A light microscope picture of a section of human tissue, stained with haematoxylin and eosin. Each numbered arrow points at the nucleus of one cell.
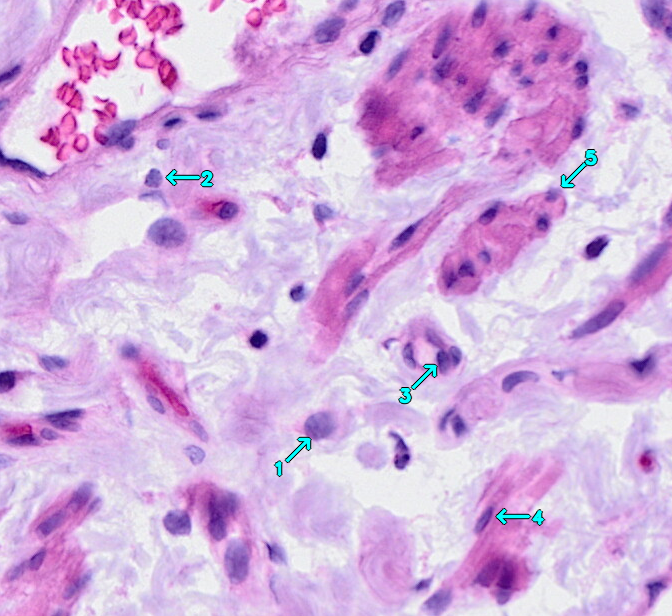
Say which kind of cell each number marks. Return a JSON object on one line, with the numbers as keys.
{"1": "fibroblast", "2": "lymphocyte", "3": "endothelial cell", "4": "smooth muscle cell", "5": "smooth muscle cell"}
